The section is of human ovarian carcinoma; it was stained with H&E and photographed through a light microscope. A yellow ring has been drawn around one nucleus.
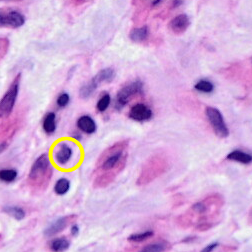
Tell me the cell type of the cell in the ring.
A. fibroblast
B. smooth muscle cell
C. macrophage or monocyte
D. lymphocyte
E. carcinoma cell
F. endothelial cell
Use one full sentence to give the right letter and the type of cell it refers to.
In the section, the cell in the ring is a lymphocyte, and option D is correct accordingly.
